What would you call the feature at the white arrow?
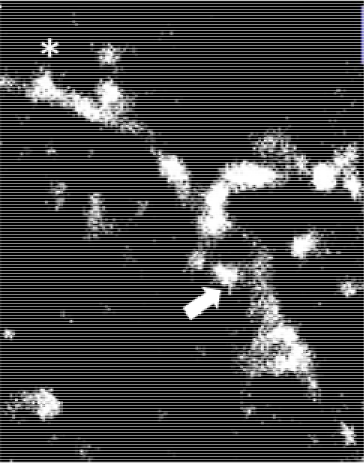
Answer: Mushroom.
